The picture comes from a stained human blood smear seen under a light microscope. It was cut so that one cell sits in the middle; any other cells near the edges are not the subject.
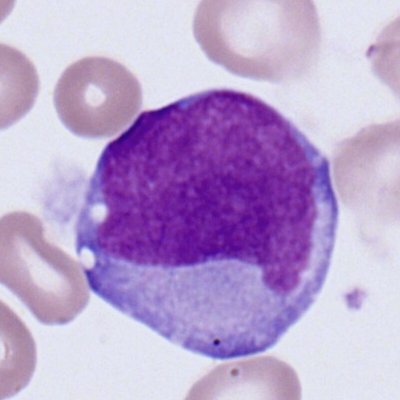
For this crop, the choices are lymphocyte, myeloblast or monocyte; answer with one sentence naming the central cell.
For this crop, the central cell is a myeloblast.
